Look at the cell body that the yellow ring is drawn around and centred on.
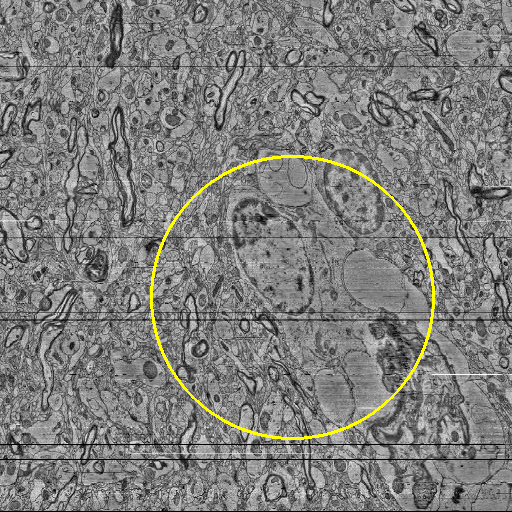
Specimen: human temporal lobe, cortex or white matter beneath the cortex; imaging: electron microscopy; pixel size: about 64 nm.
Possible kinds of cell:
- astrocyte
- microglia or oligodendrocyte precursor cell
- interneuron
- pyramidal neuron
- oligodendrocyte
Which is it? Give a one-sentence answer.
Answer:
The centred cell body is that of a microglial cell or oligodendrocyte precursor cell.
